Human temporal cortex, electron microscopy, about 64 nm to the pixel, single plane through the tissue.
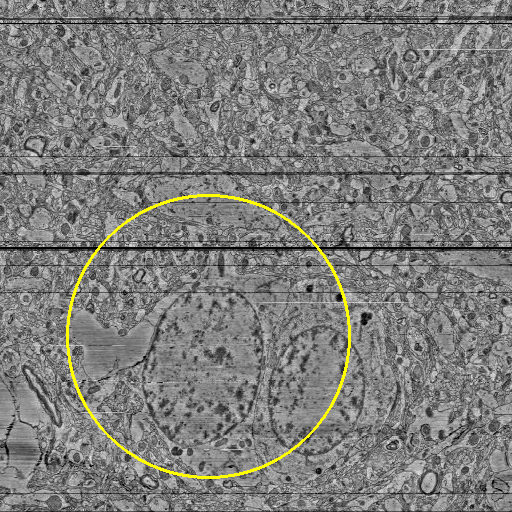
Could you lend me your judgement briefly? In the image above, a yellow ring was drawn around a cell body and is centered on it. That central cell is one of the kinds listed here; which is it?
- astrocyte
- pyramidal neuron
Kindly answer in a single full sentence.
Going by the list, an astrocyte is the kind at the ring's center in the picture.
